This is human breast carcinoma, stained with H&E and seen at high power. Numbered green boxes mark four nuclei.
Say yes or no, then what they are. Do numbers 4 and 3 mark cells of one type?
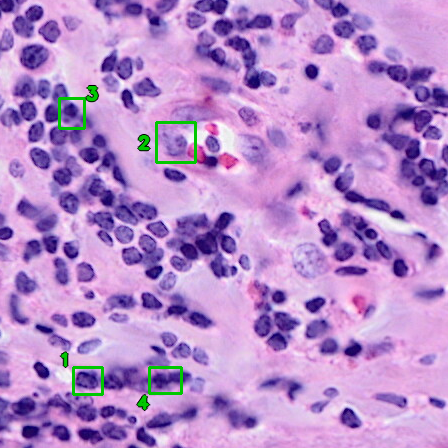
Yes, both are lymphocytes.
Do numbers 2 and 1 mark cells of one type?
No, cell 2 is an endothelial cell and cell 1 is a lymphocyte.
